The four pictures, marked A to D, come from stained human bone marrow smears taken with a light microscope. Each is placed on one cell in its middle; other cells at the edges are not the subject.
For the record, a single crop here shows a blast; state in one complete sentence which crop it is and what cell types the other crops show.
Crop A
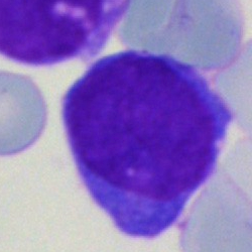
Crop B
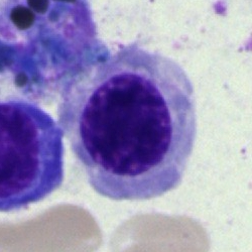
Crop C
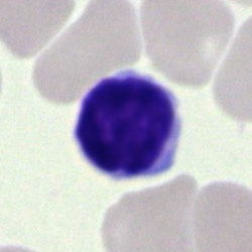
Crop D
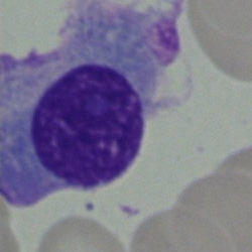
The cell shown in crop A is a blast, whereas crop B is a normoblast, crop C is a lymphocyte and crop D is a plasma cell.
